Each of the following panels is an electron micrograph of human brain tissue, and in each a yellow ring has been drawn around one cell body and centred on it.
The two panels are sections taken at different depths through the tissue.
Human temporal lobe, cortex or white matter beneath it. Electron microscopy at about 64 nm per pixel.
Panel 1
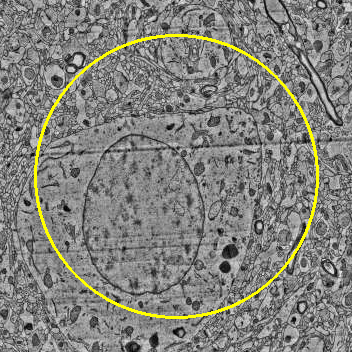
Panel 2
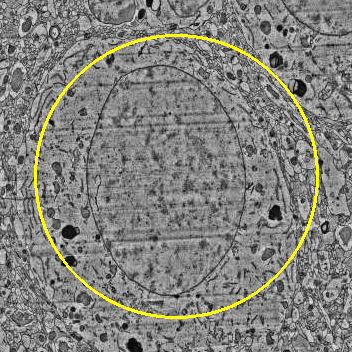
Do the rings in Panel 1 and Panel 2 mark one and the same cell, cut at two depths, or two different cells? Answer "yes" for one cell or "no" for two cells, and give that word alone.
no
